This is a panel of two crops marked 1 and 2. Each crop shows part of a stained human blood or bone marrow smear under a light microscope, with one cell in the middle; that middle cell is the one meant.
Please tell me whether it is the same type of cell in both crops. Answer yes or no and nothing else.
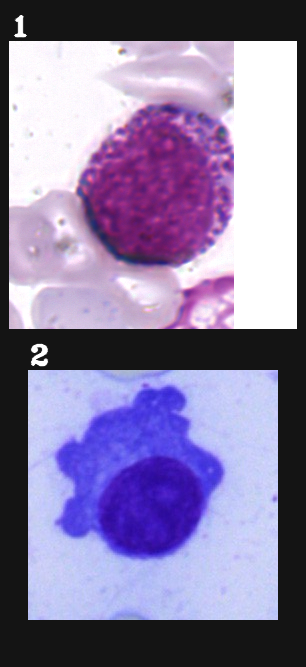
no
